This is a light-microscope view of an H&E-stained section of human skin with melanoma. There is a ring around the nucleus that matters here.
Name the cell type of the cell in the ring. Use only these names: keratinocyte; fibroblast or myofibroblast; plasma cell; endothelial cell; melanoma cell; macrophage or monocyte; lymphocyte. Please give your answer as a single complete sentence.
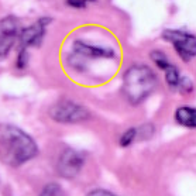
On this particular slide, the cell in the ring is an endothelial cell.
